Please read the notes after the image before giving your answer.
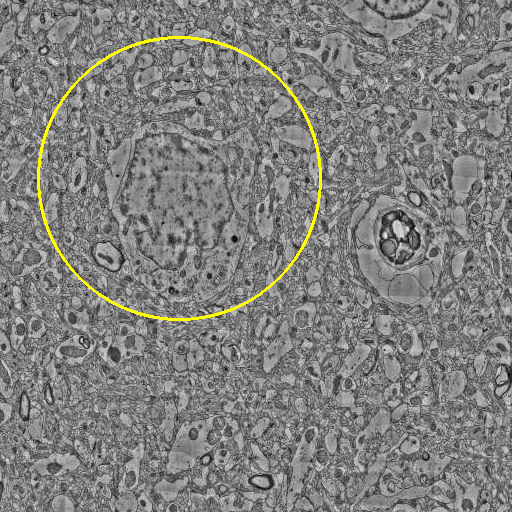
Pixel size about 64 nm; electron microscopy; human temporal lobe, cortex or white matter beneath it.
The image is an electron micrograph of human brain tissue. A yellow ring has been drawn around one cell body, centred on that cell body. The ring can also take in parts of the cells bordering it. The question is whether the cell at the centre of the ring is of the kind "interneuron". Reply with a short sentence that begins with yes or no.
Yes, the cell at the centre is of that kind.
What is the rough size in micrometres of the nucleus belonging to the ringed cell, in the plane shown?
In this plane the nucleus measures roughly 9 by 7 micrometres.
